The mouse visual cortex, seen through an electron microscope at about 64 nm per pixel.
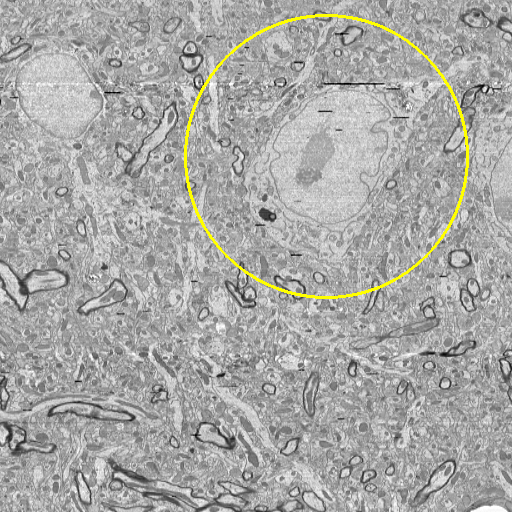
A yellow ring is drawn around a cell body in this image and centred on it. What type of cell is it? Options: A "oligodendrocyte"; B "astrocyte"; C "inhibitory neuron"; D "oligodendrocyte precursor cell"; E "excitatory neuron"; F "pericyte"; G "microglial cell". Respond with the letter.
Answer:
C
